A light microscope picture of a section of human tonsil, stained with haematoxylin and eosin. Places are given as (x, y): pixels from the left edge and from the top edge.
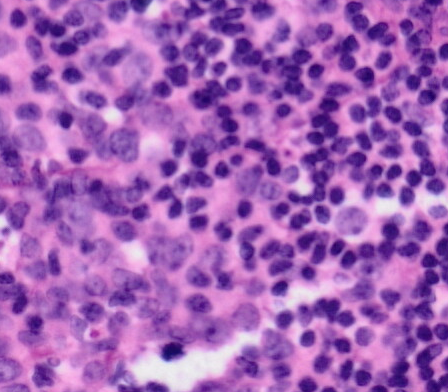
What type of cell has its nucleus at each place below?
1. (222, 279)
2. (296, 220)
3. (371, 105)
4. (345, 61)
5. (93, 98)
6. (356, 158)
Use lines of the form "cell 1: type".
cell 1: proliferating B cell
cell 2: small lymphocyte
cell 3: small lymphocyte
cell 4: small lymphocyte
cell 5: proliferating B cell
cell 6: small lymphocyte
